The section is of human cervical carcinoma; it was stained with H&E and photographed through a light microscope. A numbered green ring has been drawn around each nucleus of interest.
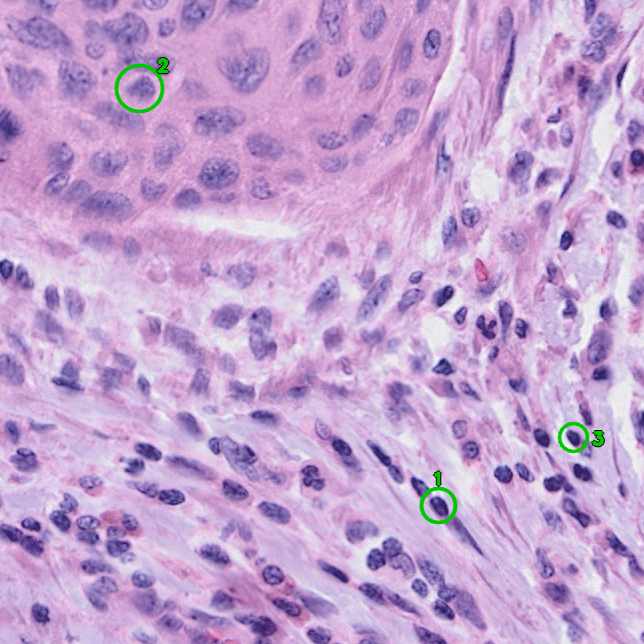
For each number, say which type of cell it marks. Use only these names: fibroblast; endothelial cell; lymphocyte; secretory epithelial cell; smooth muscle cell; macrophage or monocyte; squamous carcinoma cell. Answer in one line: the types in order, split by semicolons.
lymphocyte; squamous carcinoma cell; lymphocyte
